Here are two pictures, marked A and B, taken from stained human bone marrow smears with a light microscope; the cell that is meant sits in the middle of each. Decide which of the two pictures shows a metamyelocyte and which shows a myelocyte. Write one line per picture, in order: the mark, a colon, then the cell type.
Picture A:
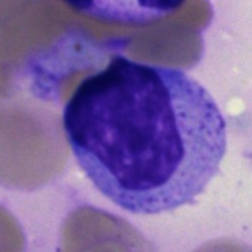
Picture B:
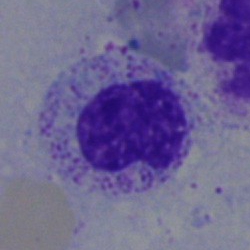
A: myelocyte
B: metamyelocyte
